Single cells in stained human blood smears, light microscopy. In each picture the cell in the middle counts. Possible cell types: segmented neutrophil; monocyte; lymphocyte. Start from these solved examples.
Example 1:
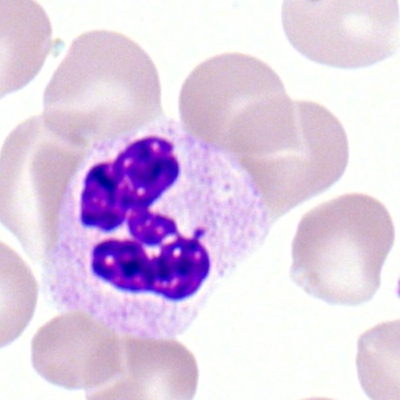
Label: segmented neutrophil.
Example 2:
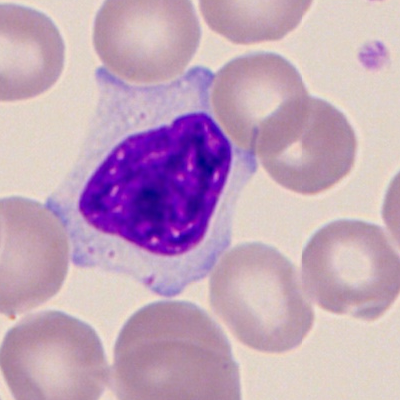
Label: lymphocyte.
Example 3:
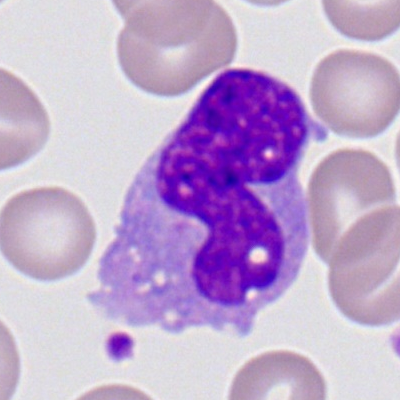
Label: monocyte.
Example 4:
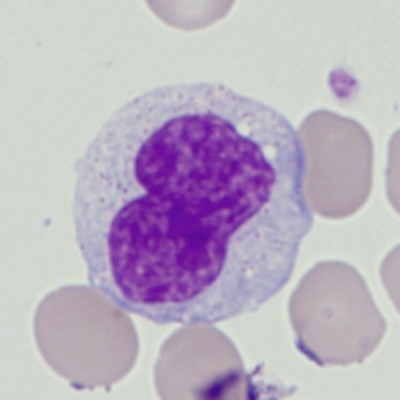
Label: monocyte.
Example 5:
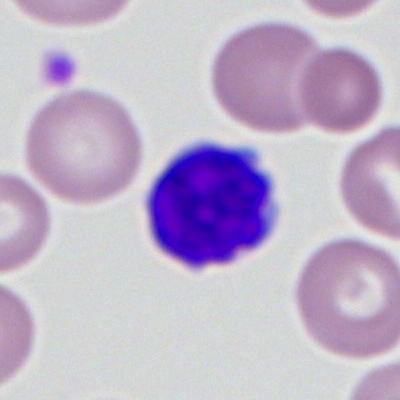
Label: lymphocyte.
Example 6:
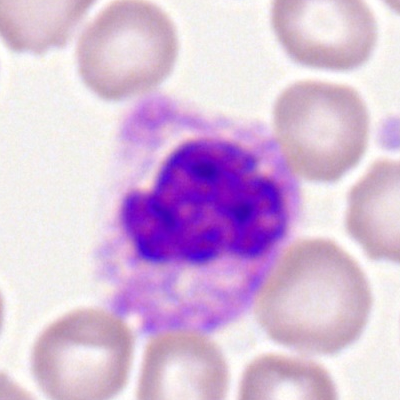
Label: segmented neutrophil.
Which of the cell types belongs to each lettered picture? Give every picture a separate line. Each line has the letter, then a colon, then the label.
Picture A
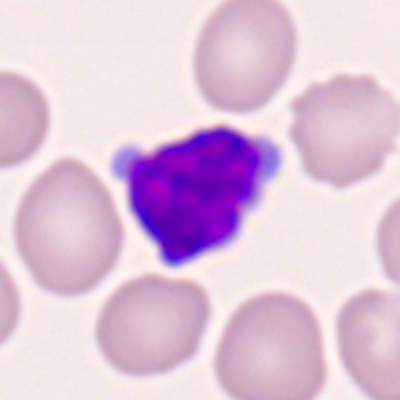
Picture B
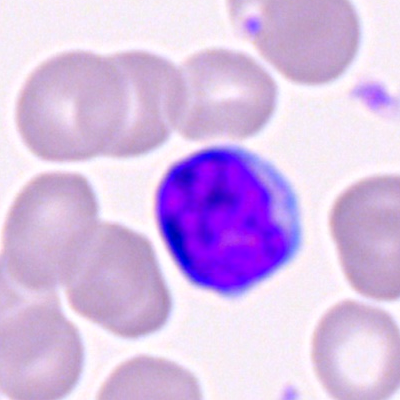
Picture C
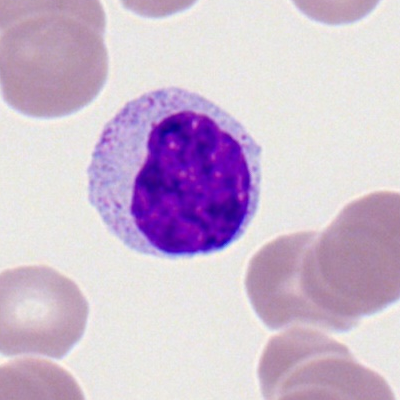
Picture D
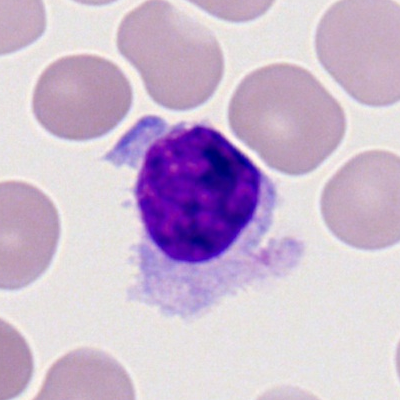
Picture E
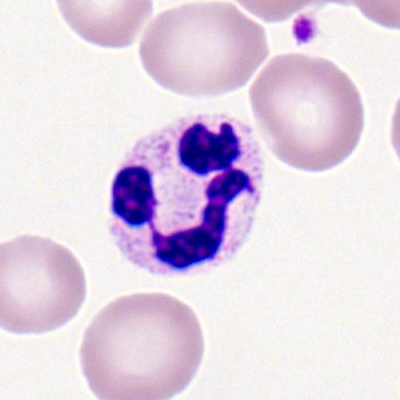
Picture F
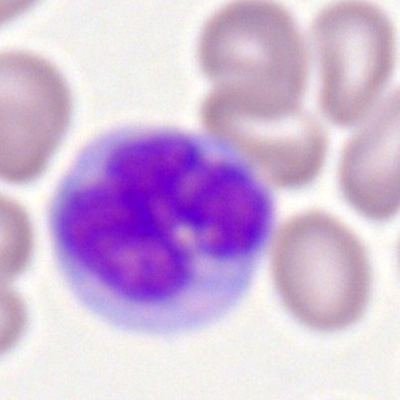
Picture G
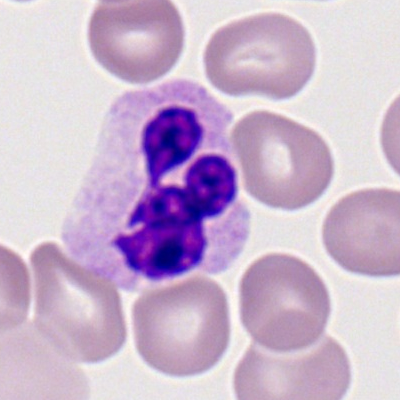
A: lymphocyte.
B: lymphocyte.
C: lymphocyte.
D: lymphocyte.
E: segmented neutrophil.
F: monocyte.
G: segmented neutrophil.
